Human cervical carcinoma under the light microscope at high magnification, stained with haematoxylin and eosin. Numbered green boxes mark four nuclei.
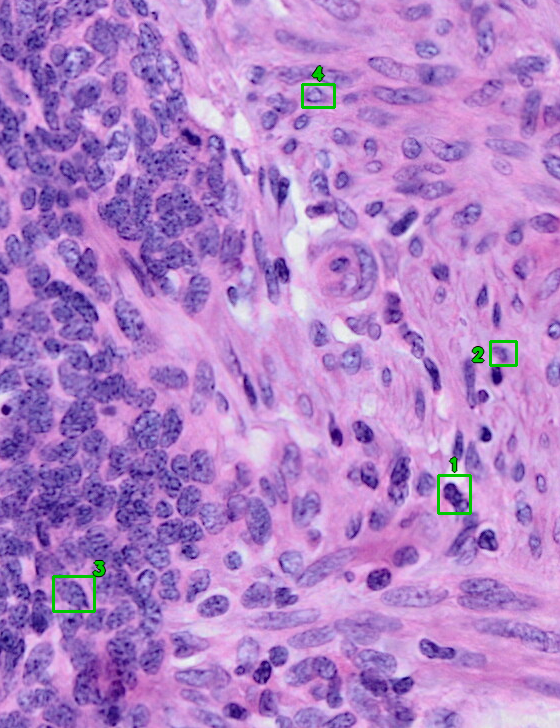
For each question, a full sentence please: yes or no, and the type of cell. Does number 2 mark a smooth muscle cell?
Yes, that is so; number 2 marks a smooth muscle cell.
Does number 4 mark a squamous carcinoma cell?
No, cell 4 is correctly identified as a smooth muscle cell and not as a squamous carcinoma cell.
